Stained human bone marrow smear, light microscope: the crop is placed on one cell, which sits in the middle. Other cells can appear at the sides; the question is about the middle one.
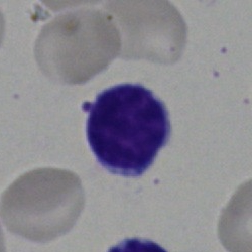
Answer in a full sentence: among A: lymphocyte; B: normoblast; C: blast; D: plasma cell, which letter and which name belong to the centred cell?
That the central cell is a lymphocyte makes option A correct.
